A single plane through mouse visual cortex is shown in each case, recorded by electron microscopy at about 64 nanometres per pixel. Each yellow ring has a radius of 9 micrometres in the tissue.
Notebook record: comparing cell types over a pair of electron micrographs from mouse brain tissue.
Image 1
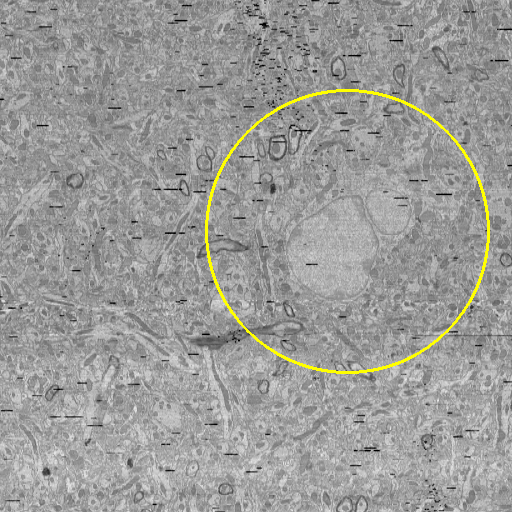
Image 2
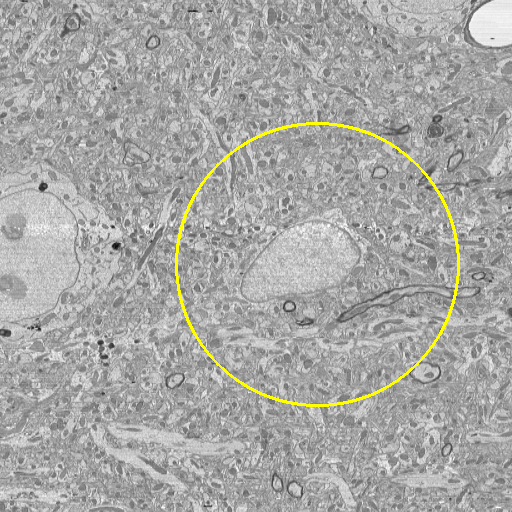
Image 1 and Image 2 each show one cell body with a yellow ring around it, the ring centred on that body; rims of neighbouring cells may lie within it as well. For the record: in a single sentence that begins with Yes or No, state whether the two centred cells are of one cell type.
Yes, one cell type is shared by the centred cells of Image 1 and Image 2.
